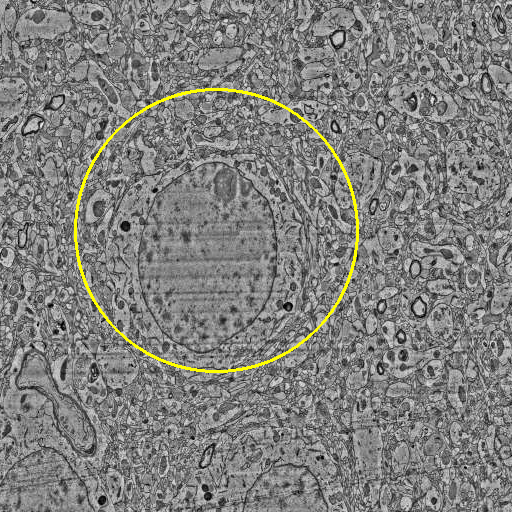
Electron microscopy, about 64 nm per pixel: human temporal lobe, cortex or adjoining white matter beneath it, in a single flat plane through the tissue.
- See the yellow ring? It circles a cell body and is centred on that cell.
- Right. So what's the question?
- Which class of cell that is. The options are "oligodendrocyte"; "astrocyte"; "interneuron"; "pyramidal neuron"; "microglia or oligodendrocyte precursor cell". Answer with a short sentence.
The centre of the ring holds a pyramidal neuron.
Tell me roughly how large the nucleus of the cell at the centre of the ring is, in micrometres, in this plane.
The nucleus measures about 12 by 9 micrometres in this plane.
